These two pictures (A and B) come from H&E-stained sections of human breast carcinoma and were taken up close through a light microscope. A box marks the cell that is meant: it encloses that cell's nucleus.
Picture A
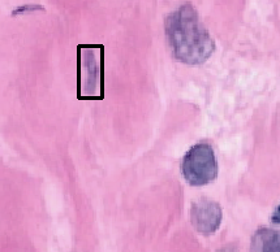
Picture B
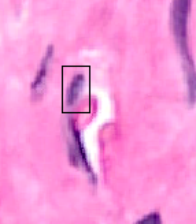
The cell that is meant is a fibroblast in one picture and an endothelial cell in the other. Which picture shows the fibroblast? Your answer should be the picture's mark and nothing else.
A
